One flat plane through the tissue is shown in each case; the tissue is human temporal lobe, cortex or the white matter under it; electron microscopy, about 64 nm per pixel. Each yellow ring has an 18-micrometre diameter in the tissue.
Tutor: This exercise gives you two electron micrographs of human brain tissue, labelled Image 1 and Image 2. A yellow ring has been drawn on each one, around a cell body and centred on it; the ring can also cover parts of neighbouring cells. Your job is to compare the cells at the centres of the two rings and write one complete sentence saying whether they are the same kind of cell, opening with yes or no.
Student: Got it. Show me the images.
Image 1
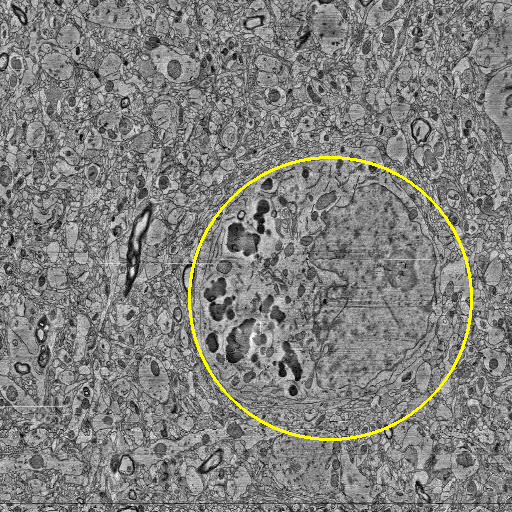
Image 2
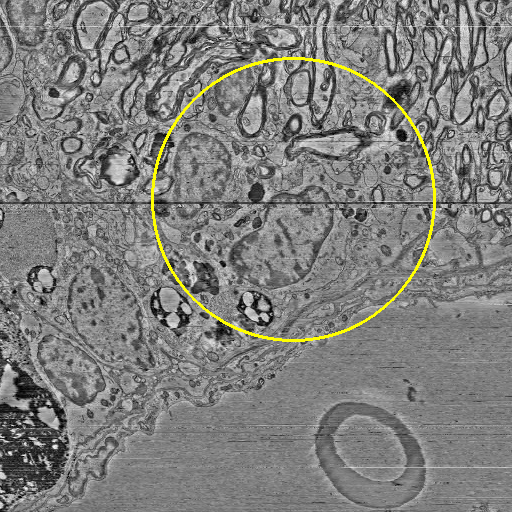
No, the two cells belong to two kinds.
